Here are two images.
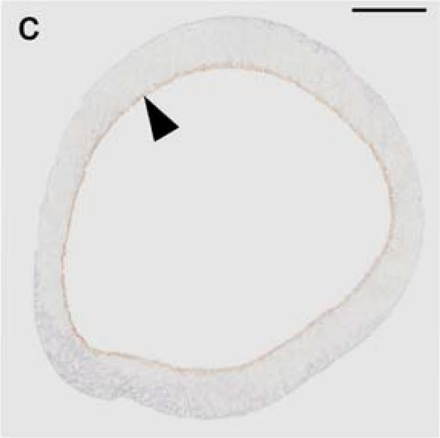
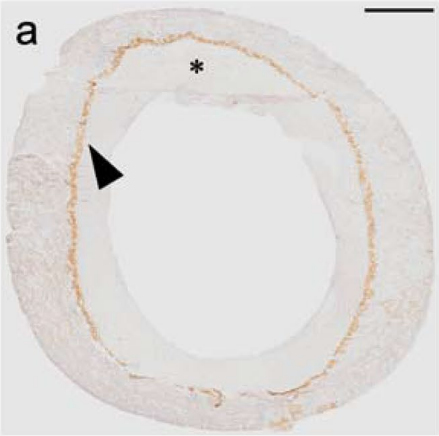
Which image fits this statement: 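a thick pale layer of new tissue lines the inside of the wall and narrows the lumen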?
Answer: the second image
